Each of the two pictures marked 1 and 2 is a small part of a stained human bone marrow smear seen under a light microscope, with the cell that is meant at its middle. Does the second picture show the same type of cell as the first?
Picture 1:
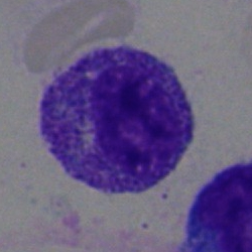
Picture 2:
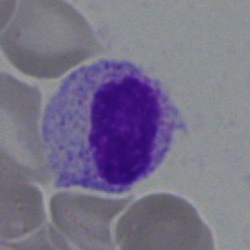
no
